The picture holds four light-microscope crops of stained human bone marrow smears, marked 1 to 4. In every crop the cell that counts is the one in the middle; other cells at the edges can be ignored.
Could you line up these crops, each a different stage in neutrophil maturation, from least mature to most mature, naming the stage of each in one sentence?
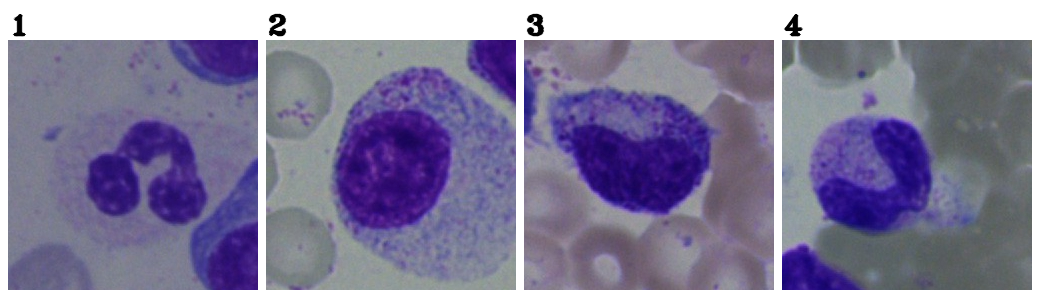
The ordering by maturity, from earliest to most mature, is crop 2 (a myelocyte), crop 3 (a metamyelocyte), crop 4 (a band neutrophil) and crop 1 (a segmented neutrophil).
